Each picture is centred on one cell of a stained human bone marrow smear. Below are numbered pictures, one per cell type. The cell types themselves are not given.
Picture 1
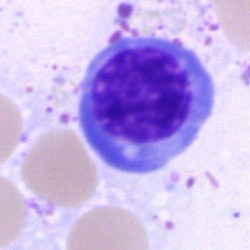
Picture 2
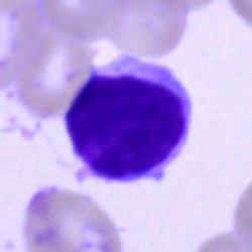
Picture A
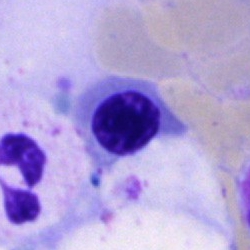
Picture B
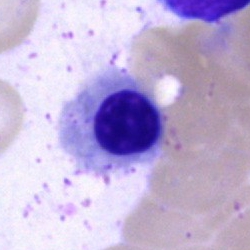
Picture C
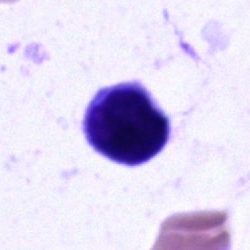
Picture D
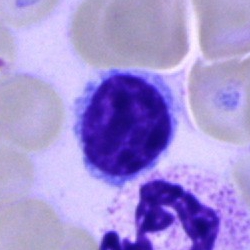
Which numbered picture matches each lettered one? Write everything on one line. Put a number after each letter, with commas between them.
A 1, B 1, C 2, D 2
